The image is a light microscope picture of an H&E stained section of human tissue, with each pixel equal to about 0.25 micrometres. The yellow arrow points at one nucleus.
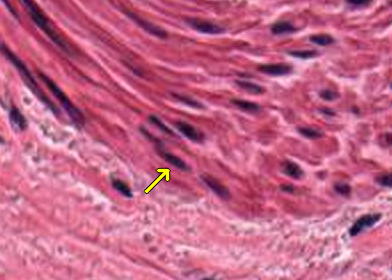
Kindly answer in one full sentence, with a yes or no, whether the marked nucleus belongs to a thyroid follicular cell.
No, the nucleus marked on this image is not inside a thyroid follicular cell.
